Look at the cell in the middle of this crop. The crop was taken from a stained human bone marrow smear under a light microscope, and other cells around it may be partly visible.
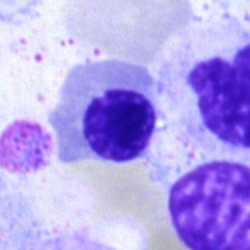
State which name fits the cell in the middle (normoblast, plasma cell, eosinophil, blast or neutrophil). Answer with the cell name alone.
normoblast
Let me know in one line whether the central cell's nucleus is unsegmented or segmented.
The nucleus holds together as a single compact mass, round, oval or kidney-like.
